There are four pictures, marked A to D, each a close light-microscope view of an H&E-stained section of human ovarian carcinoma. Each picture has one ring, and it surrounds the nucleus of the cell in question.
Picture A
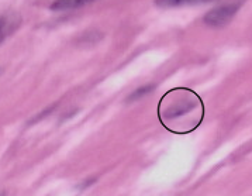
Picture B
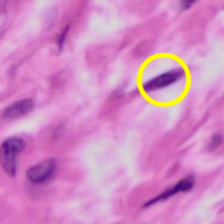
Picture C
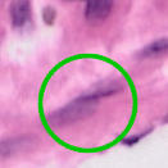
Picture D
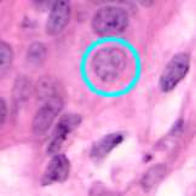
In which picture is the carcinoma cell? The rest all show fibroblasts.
D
